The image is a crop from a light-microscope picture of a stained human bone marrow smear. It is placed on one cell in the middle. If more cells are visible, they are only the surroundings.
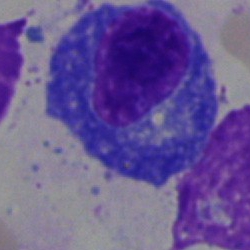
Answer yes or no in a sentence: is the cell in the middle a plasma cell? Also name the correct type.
Yes, what sits in the middle of the crop is a plasma cell.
